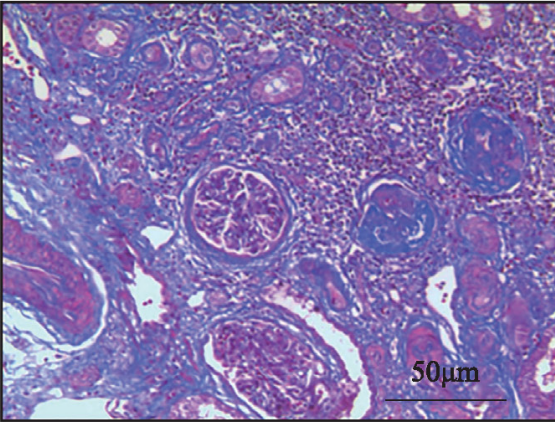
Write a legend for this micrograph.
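This is kidney tissue with glomeruli and tubules set in a widened interstitium. One glomerulus in the middle still shows a lobulated tuft of capillaries inside its capsule, but another to its right is largely replaced by blue-stained fibrous material, a picture of glomerular fibrosis. The interstitium between the structures is expanded by blue-stained collagen fibres and holds many densely packed small dark nuclei. Tubules are few and small, with red-staining cytoplasm, lying scattered in the fibrous tissue rather than packed together. Broad blue fibrous bands also run along the left side of the field.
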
